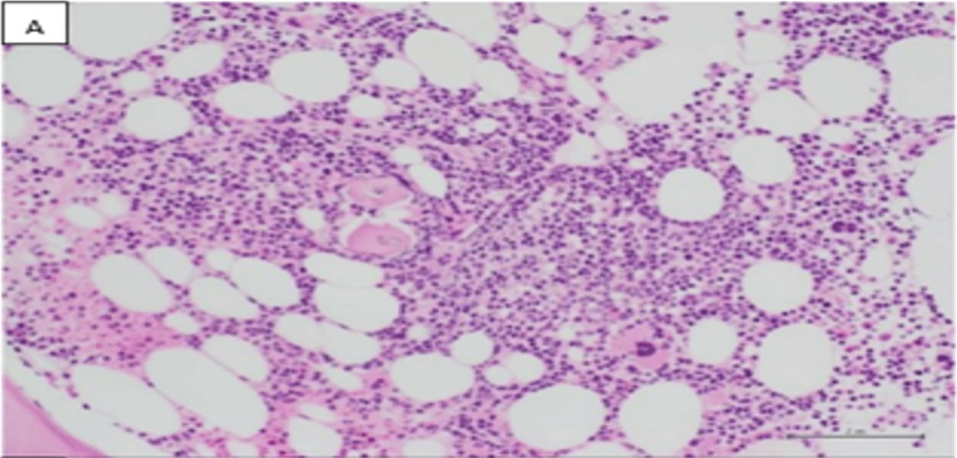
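This is a section of bone marrow in which a dense aggregate of small lymphoid cells lies among fat cells. The aggregate occupies the centre of the field and consists of closely packed cells with small, round, dark purple nuclei and little cytoplasm. Around it, large round clear spaces of adipocytes of varying size are scattered throughout the marrow. A large cell with a lobulated dark nucleus is visible to the right of the aggregate. A pink bony trabecula is seen at the lower left corner, and pale pink material lies between cells in places.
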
